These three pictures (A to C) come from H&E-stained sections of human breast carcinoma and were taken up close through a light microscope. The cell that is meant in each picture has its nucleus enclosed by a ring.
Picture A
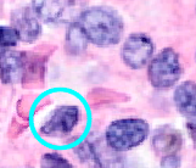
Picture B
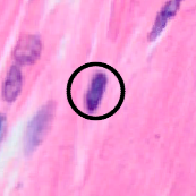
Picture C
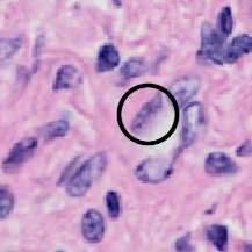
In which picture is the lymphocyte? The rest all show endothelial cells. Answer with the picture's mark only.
B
